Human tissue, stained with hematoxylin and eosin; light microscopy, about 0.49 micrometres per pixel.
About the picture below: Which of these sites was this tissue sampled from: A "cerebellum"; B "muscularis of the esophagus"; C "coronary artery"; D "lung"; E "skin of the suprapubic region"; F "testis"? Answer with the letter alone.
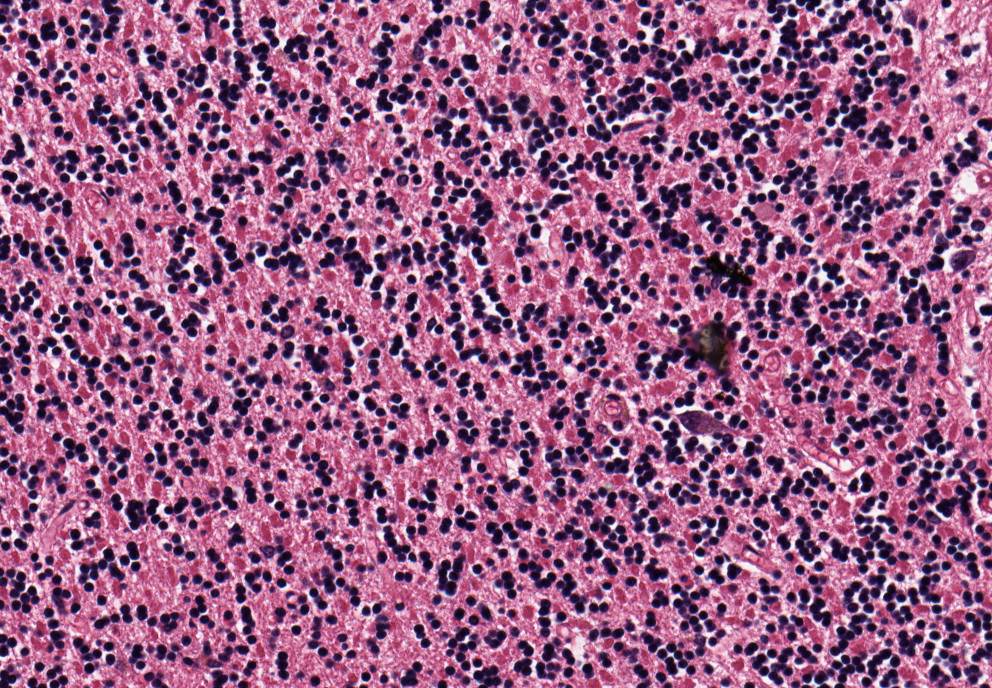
A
